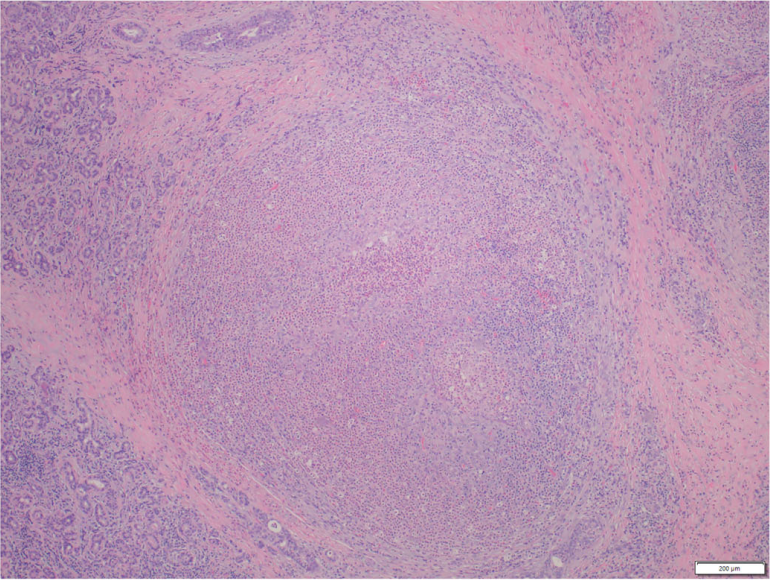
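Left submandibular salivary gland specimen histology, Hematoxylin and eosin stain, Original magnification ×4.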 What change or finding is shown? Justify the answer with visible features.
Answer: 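A large round nodule of densely packed inflammatory cells sits in the middle. The nodule is ringed by concentric layers of spindle-shaped cells and pink connective tissue. Gland acini and small ducts lie around the nodule.
Hence: granuloma.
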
